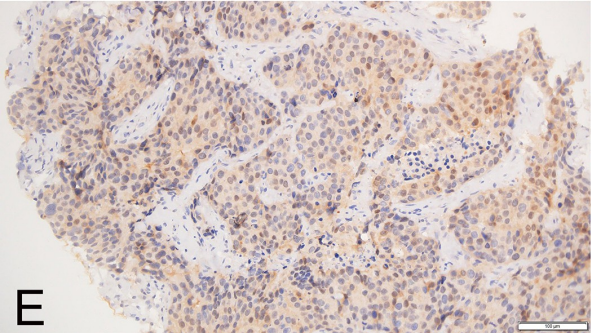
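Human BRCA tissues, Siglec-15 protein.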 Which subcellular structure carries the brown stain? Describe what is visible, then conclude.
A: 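Both the cytoplasm and nucleus. Many tumour nuclei are brown rather than blue. Cytoplasm between nuclei is also tinted brown.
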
